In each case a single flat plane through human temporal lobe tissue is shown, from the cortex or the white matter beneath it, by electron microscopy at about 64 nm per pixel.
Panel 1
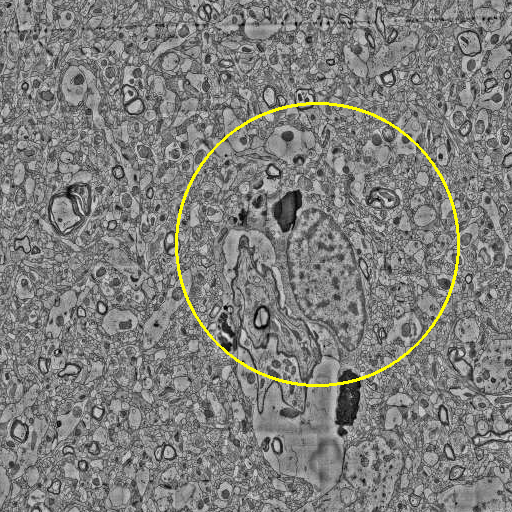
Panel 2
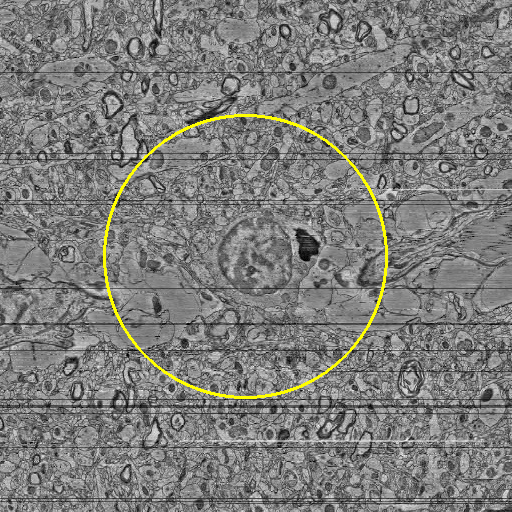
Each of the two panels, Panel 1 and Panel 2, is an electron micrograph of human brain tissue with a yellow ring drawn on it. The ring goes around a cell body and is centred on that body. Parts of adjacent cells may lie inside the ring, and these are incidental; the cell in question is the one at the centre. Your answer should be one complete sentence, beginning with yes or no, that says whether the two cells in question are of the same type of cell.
Yes, the two cells are of the same type.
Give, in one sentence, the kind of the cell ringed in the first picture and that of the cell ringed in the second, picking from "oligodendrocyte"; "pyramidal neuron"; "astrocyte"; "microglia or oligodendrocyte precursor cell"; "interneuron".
The cell at the ring centre is an oligodendrocyte in both pictures.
